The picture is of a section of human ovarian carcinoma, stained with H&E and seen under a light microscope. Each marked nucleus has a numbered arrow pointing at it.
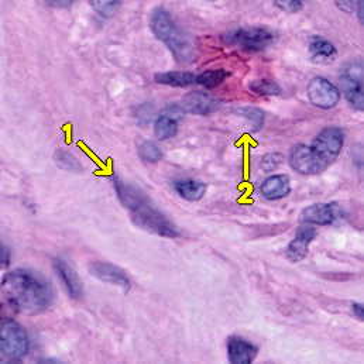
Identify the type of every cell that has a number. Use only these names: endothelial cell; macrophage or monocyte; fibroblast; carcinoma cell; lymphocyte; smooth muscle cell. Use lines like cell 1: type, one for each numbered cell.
cell 1: fibroblast
cell 2: endothelial cell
